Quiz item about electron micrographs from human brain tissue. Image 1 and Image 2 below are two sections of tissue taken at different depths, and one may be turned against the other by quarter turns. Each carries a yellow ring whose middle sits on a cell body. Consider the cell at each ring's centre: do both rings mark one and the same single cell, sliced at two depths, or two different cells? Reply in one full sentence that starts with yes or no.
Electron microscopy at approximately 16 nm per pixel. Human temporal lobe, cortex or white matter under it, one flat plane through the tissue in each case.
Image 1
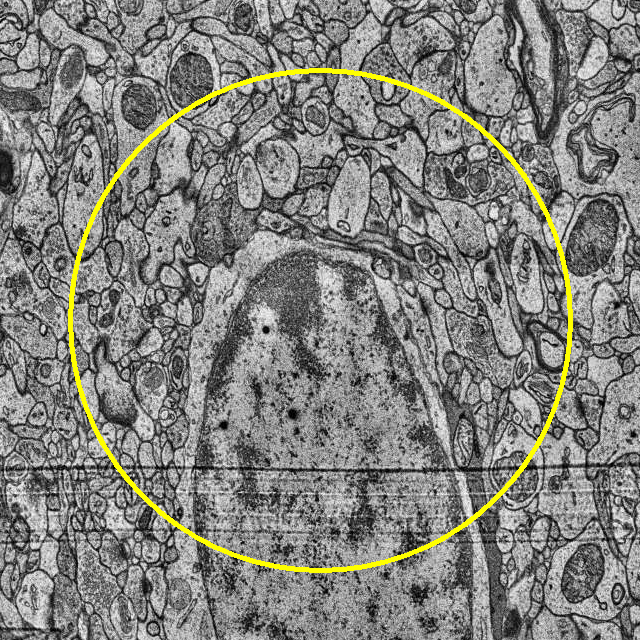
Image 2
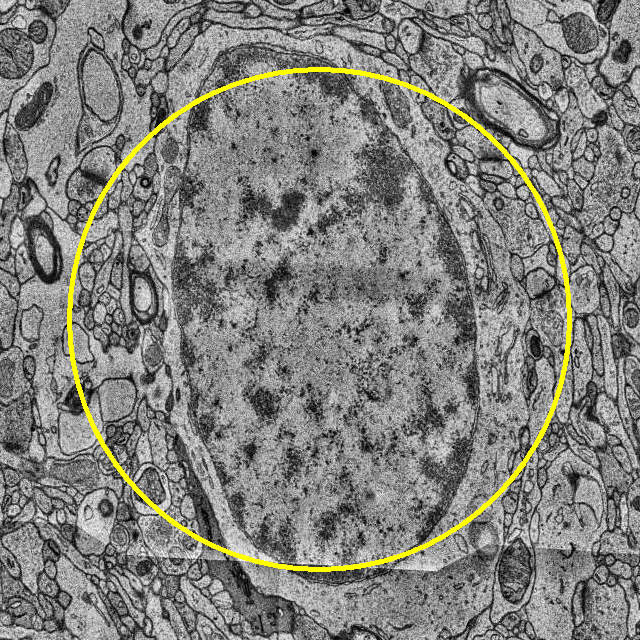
Yes, the rings do not mark different cells but one cell.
